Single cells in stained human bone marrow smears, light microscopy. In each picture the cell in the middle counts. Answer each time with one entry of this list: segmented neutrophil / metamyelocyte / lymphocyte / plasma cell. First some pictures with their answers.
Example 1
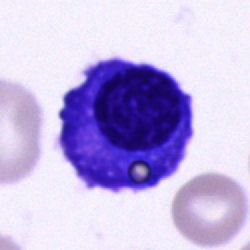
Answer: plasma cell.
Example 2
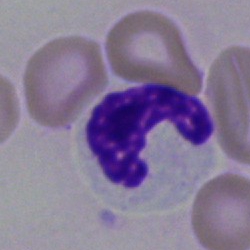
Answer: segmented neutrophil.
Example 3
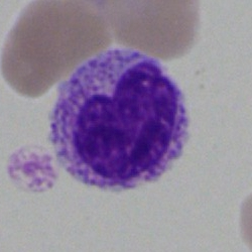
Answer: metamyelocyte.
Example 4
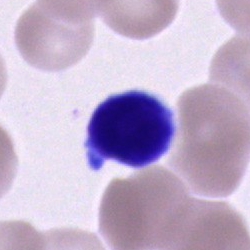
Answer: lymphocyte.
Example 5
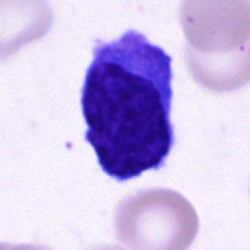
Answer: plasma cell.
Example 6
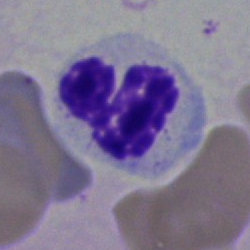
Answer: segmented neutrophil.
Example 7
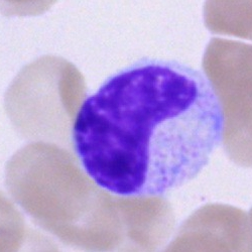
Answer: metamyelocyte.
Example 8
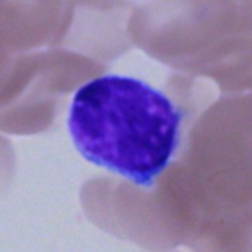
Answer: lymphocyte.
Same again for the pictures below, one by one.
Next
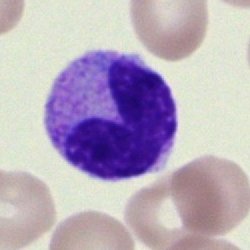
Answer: metamyelocyte.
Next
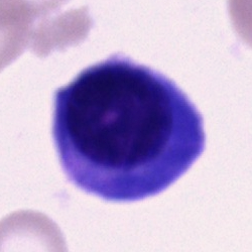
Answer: plasma cell.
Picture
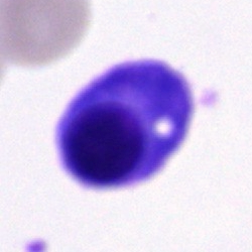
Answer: plasma cell.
